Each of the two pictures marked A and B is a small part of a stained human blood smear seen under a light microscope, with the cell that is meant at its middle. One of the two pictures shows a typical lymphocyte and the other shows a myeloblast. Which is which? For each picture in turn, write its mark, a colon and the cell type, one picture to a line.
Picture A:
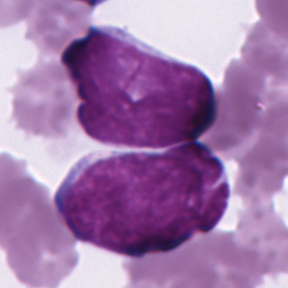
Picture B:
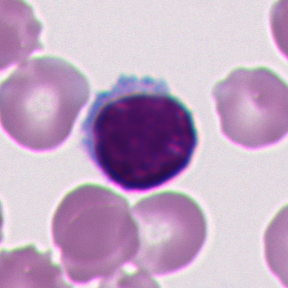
A: myeloblast
B: typical lymphocyte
